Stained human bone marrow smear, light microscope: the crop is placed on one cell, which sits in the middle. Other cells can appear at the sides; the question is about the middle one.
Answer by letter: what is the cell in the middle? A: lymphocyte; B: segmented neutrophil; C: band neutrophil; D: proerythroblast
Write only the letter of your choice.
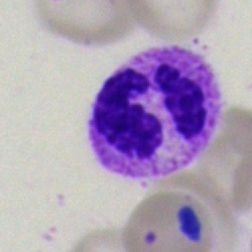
B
